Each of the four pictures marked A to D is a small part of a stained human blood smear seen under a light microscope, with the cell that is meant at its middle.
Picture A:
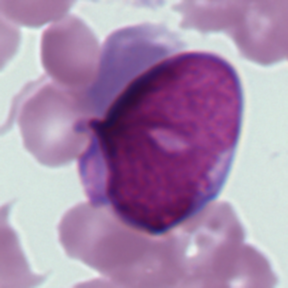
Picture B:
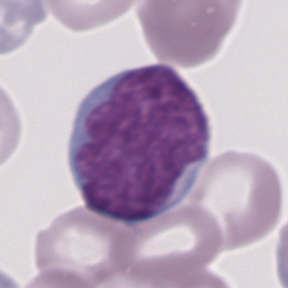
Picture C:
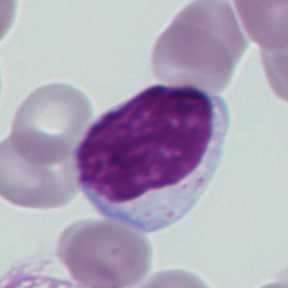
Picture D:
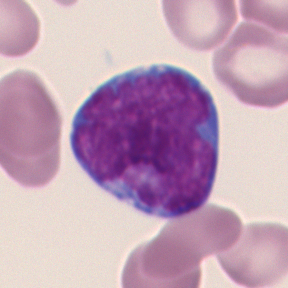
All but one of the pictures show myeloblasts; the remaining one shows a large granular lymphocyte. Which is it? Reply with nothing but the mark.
C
